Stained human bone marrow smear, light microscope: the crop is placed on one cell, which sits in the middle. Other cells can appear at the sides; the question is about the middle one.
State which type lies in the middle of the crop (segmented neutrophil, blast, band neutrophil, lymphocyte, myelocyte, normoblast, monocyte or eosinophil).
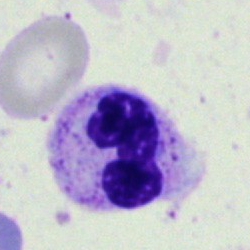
segmented neutrophil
